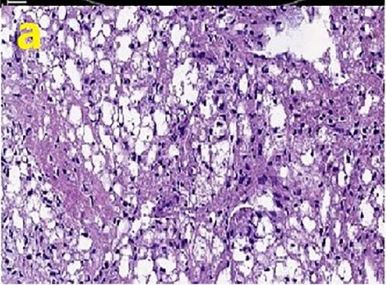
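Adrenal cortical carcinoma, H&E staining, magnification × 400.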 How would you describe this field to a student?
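Many cells have pale, clear, finely vacuolated cytoplasm, giving a bubbly appearance over much of the field. Between these lie patches of darker, more crowded cells with dense purple nuclei and pinker cytoplasm. The cells do not form a regular pattern of cords or nests.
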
